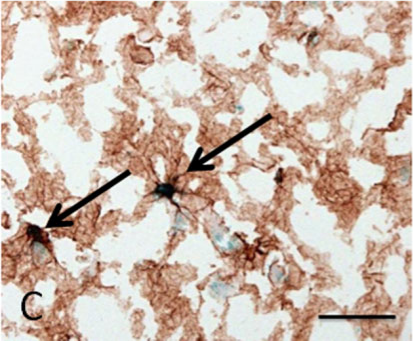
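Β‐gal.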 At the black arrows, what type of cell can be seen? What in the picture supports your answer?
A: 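Astrocyte. The arrowed cells have small dark bodies with many fine processes radiating outward. The processes join a dense brown fibrillary network filling the field.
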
